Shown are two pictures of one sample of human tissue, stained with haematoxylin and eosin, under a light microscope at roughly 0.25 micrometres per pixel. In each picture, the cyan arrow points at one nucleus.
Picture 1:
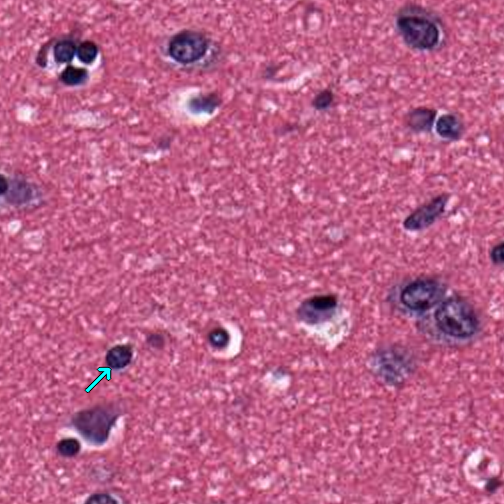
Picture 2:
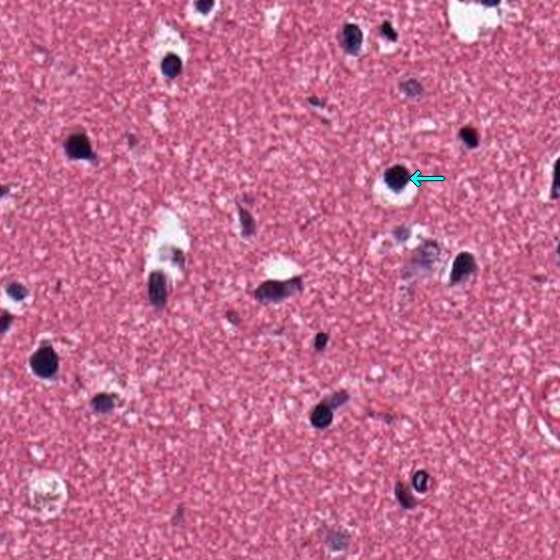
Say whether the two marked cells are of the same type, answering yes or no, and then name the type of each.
Yes, both are oligodendrocytes.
